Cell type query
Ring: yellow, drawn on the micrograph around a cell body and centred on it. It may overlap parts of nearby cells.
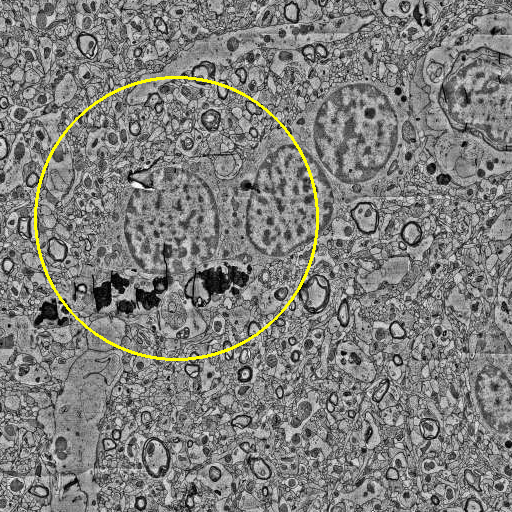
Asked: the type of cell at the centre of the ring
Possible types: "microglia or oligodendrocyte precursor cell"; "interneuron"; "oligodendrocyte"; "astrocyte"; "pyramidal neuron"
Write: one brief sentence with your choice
The ring marks an oligodendrocyte.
